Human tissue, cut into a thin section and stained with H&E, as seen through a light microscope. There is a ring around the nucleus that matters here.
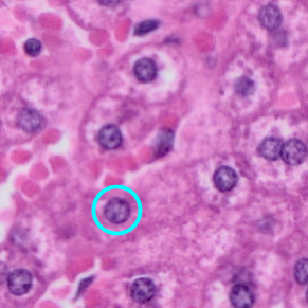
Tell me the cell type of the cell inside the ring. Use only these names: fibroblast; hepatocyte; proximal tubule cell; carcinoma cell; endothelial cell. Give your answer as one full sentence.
By cell type, the cell inside the ring is a hepatocyte.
